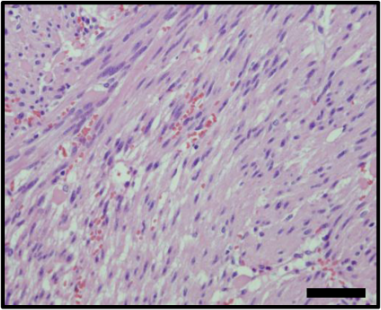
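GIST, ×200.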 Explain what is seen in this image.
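This tumor is made of bland-looking spindle cells in loosely streaming fascicles. The nuclei are slender, fairly uniform and moderately stained, lying in pale pink fibrillary cytoplasm. Small spaces and scattered red blood cells lie between the cells. No marked nuclear atypia is evident.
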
